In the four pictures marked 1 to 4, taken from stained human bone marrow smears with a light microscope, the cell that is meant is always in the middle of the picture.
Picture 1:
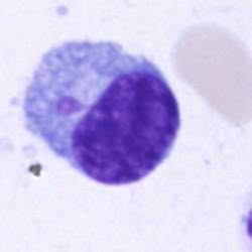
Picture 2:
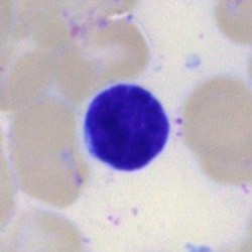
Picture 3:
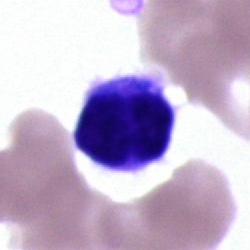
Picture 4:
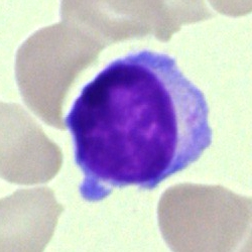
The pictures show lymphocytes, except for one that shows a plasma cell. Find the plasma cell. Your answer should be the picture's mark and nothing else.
1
